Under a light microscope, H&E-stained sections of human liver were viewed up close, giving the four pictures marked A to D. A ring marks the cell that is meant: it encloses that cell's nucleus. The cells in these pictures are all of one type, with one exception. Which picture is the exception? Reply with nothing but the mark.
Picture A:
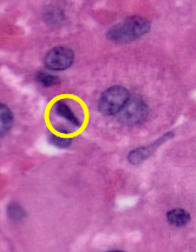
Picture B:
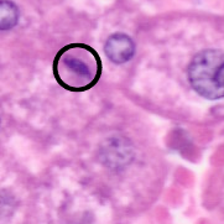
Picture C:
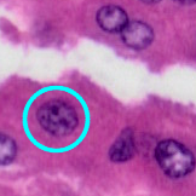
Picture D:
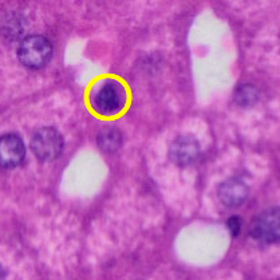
C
